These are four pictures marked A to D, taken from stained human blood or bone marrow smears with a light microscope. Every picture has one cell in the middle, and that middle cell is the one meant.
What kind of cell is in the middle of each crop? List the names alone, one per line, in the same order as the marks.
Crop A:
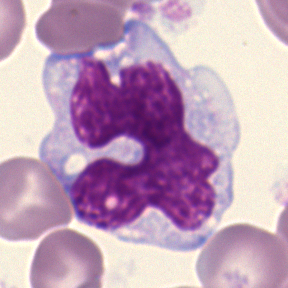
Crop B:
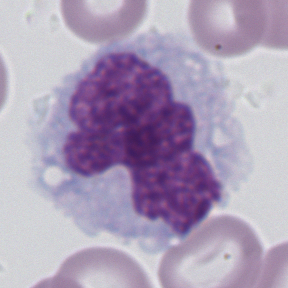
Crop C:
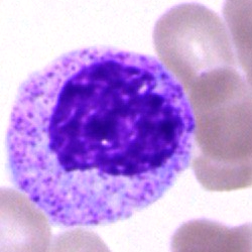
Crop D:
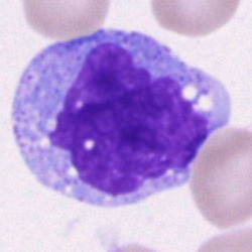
monocyte
monocyte
myelocyte
monocyte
